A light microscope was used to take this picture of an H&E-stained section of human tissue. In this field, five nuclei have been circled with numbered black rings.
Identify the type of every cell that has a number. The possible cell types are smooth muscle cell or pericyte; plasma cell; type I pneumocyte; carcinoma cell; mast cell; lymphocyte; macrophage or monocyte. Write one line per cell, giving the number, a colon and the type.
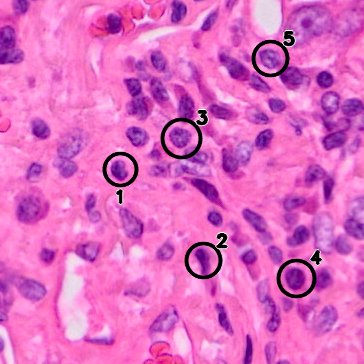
1: lymphocyte
2: plasma cell
3: lymphocyte
4: plasma cell
5: lymphocyte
